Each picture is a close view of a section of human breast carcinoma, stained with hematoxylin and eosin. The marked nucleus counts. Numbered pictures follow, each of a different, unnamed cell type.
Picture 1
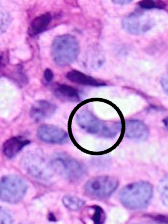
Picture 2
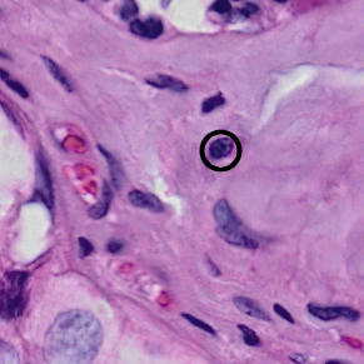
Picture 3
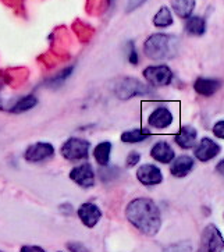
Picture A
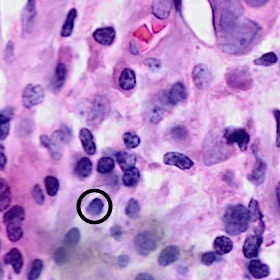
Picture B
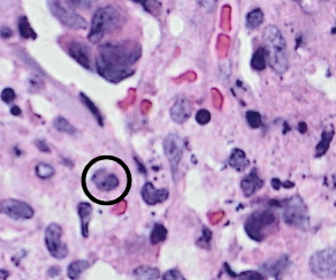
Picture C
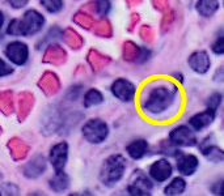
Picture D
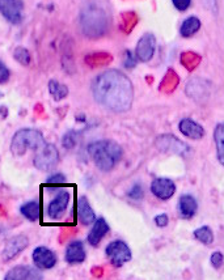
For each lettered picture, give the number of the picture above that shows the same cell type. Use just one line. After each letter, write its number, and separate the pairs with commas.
A 3, B 2, C 3, D 3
